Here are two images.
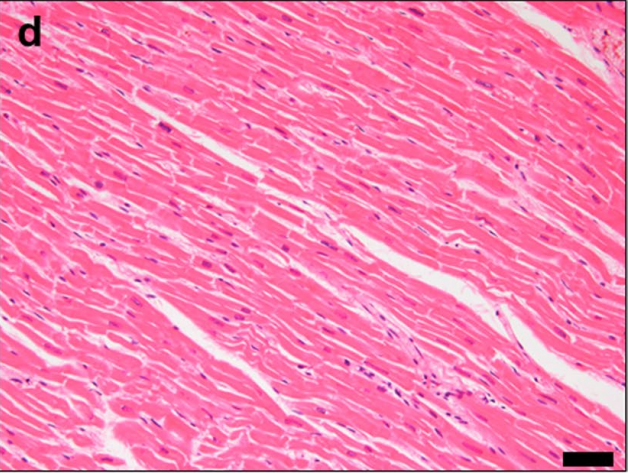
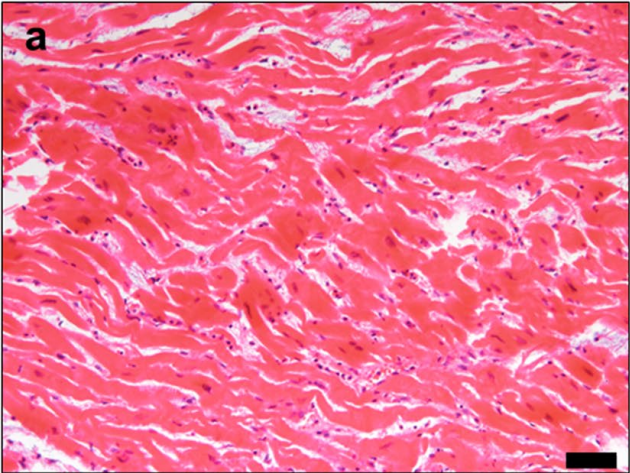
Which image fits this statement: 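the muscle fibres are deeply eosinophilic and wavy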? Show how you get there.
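First image: slender pink fibres run straight and parallel with evenly spaced nuclei. Second image: fibres are dark red and follow a wavy, undulating course.
Conclusion: the second image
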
